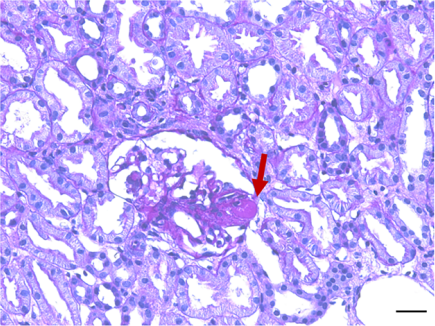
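Kidney cortex with one glomerulus in the centre surrounded by cross-sectioned tubules. Part of the glomerular tuft is replaced by a solid, homogeneous magenta area with no open capillary loops, while the rest of the tuft still shows loops. The tubules have cuboidal epithelium with round blue nuclei and pale pink cytoplasm around open lumens. The interstitium between tubules is narrow. The capsule space around the glomerulus is partly open.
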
